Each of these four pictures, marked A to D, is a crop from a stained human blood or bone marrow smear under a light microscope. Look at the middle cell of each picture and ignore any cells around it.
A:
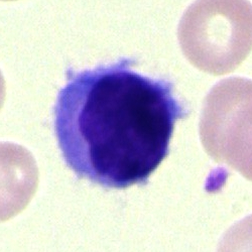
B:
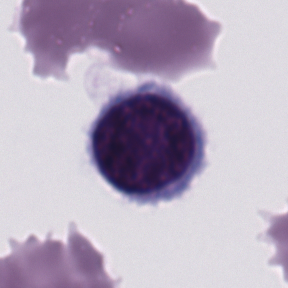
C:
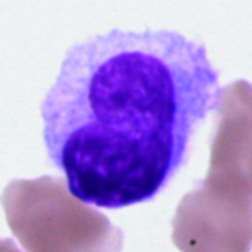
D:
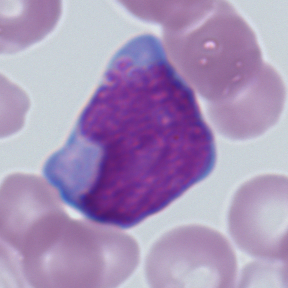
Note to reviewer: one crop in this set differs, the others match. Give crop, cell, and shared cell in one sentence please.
With the other crops all showing hairy cells, crop D differs by showing a blast.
